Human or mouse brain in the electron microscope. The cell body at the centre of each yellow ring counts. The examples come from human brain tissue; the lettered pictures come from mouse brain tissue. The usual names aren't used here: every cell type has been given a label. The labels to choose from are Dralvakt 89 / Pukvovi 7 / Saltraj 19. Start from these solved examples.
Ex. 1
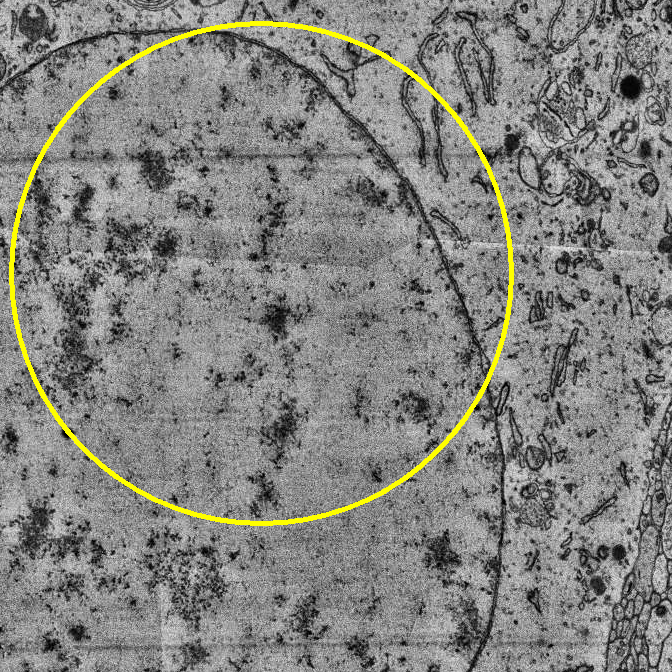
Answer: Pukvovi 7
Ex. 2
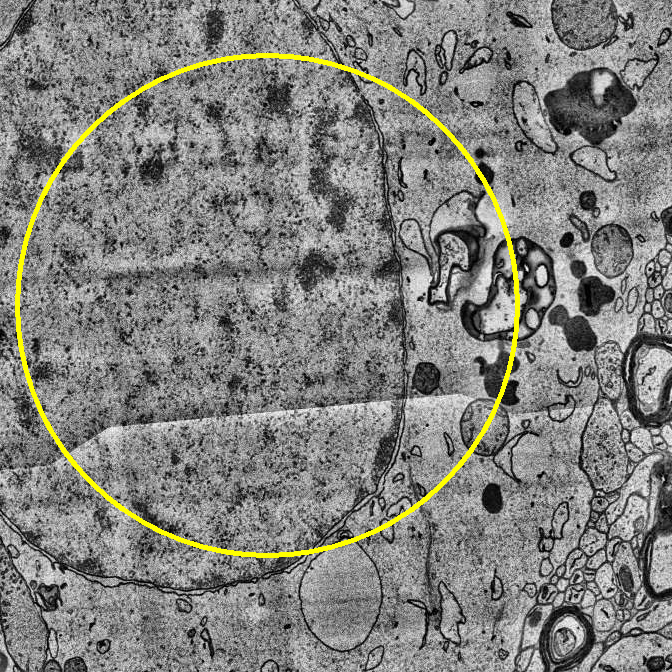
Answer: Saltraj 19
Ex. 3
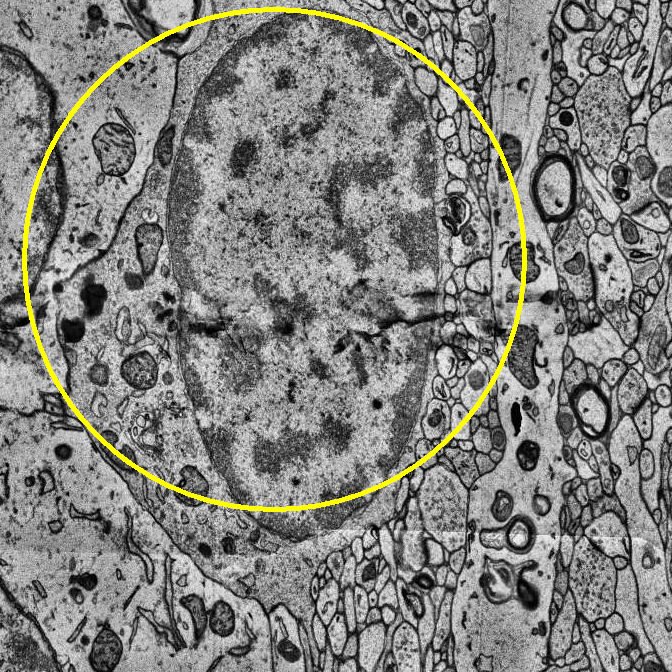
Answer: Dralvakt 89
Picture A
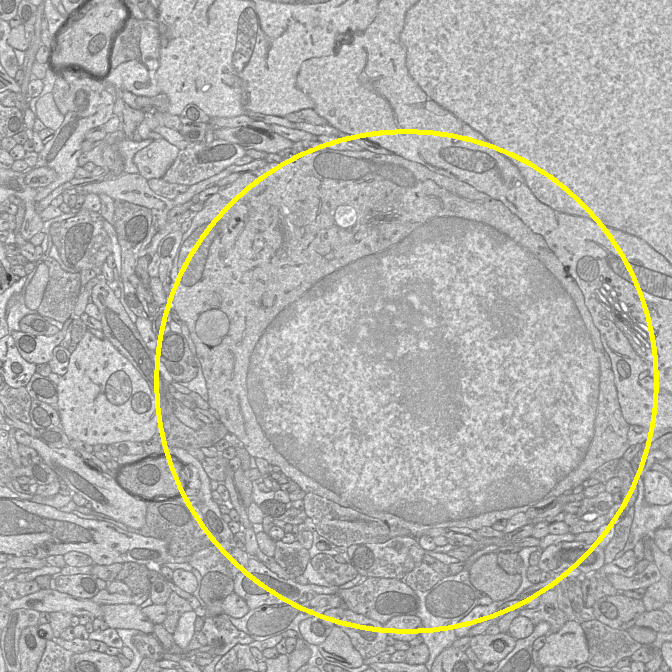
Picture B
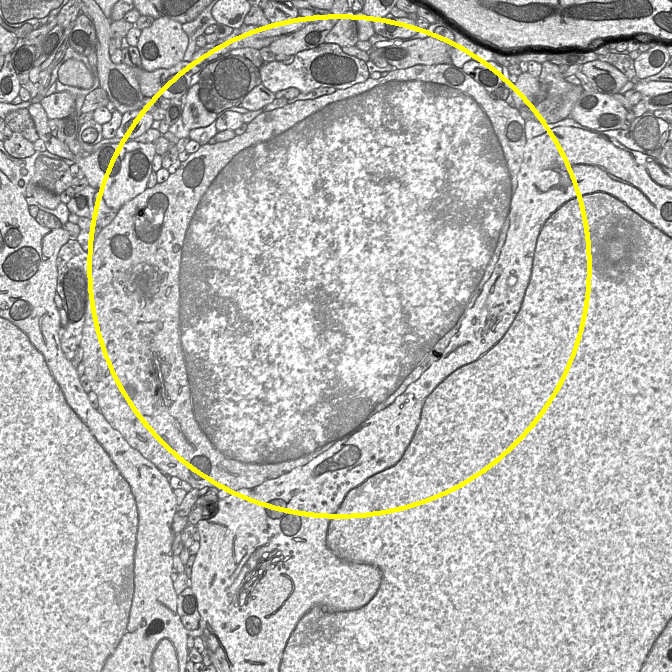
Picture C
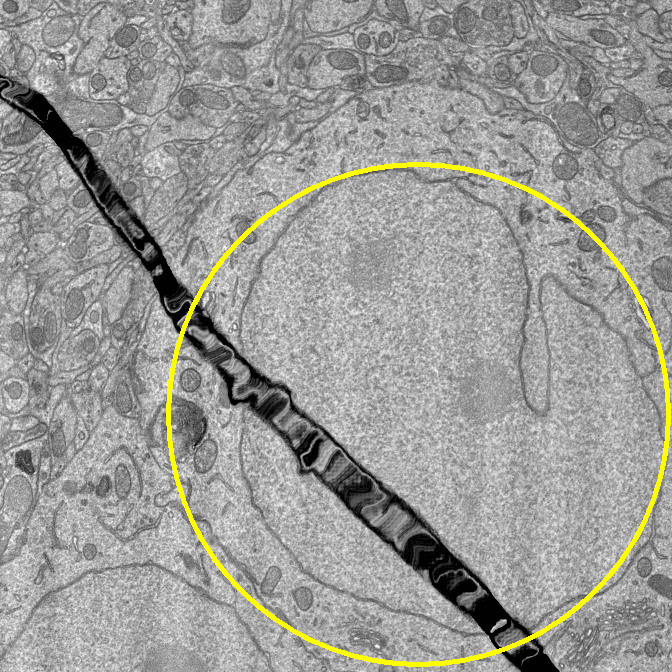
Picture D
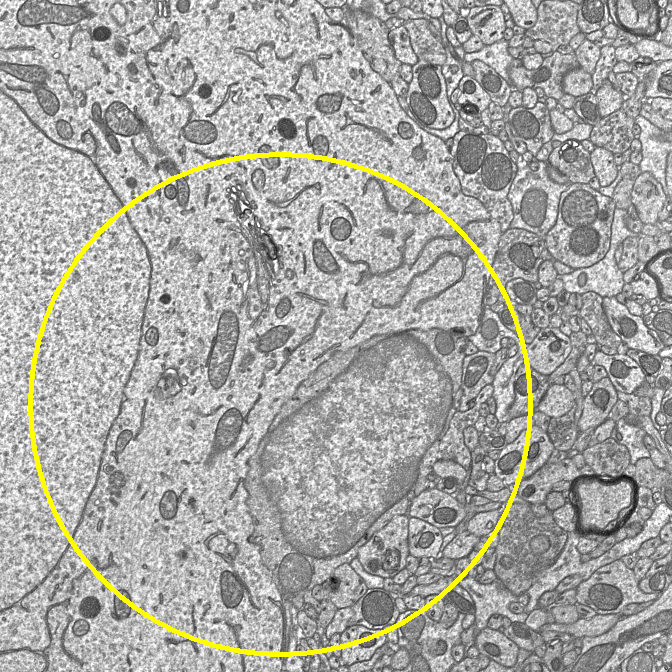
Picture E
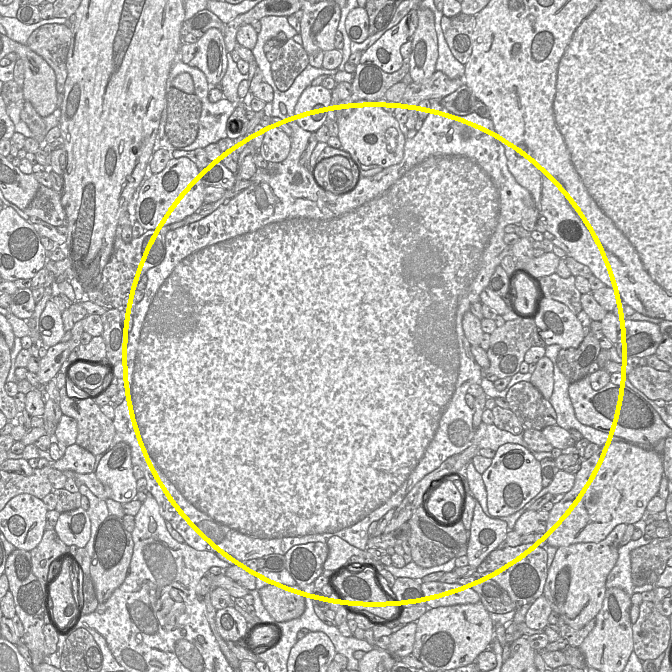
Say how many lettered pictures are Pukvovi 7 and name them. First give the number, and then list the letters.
1, namely C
